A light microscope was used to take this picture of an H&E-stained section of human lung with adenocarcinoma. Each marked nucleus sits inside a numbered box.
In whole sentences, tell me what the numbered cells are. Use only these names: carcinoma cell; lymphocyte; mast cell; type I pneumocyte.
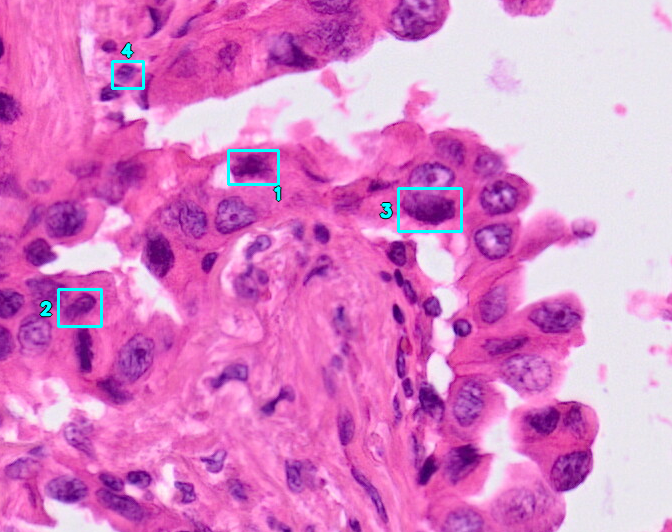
Cells 1, 2 and 3 are carcinoma cells. Cell 4 is a lymphocyte.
